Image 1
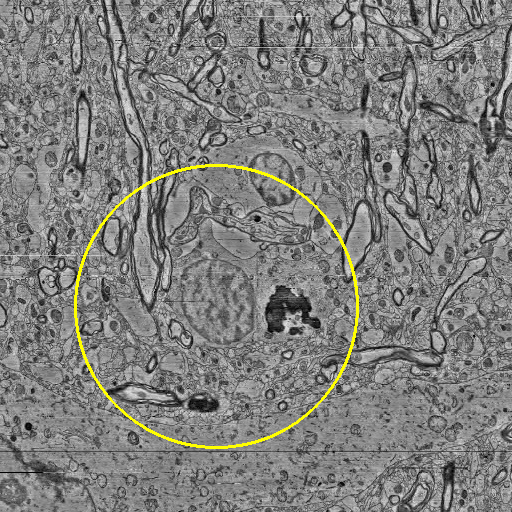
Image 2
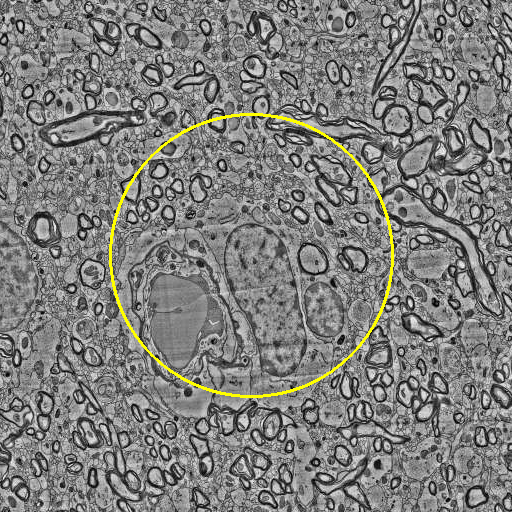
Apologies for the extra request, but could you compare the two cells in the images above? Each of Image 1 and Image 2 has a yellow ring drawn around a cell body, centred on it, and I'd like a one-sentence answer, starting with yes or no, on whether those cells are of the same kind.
No, the two cells are of two kinds.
